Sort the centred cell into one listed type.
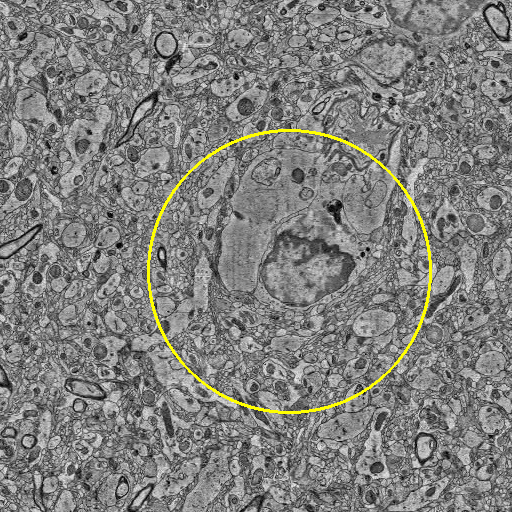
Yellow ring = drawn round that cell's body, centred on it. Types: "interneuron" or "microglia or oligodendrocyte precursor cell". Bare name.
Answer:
microglia or oligodendrocyte precursor cell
